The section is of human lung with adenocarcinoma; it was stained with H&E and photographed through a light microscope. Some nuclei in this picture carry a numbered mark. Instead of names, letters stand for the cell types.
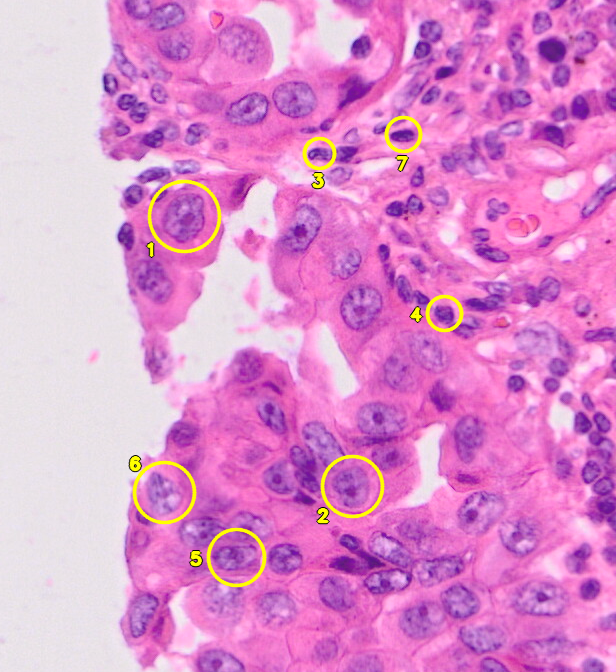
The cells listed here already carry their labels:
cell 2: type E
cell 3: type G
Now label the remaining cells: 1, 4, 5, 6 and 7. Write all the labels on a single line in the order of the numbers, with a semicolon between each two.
type E; type G; type E; type E; type G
